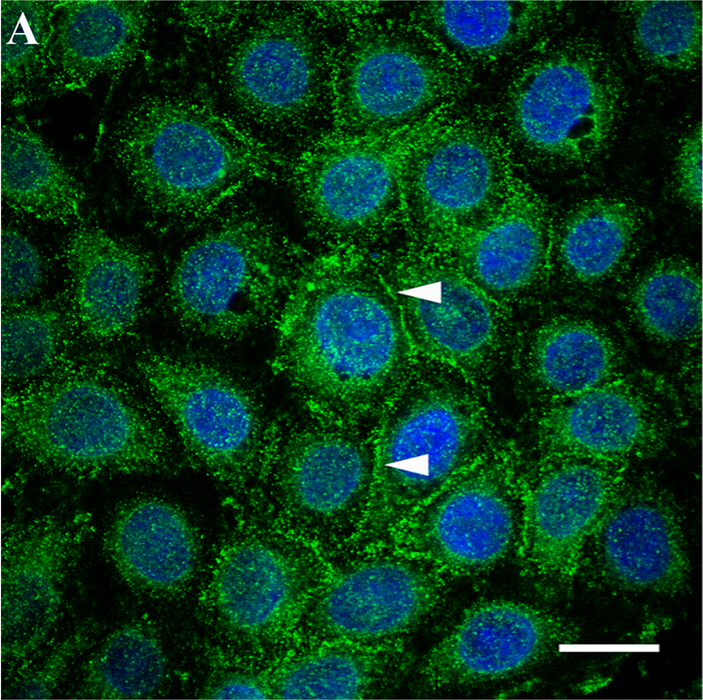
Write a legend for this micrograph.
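A dense sheet of cultured cells with round to oval blue nuclei, each surrounded by a cytoplasm filled with fine green dots. Besides the speckles in the cytoplasm, thin green lines run along the borders where neighbouring cells meet, outlining the cell membranes of many cells.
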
